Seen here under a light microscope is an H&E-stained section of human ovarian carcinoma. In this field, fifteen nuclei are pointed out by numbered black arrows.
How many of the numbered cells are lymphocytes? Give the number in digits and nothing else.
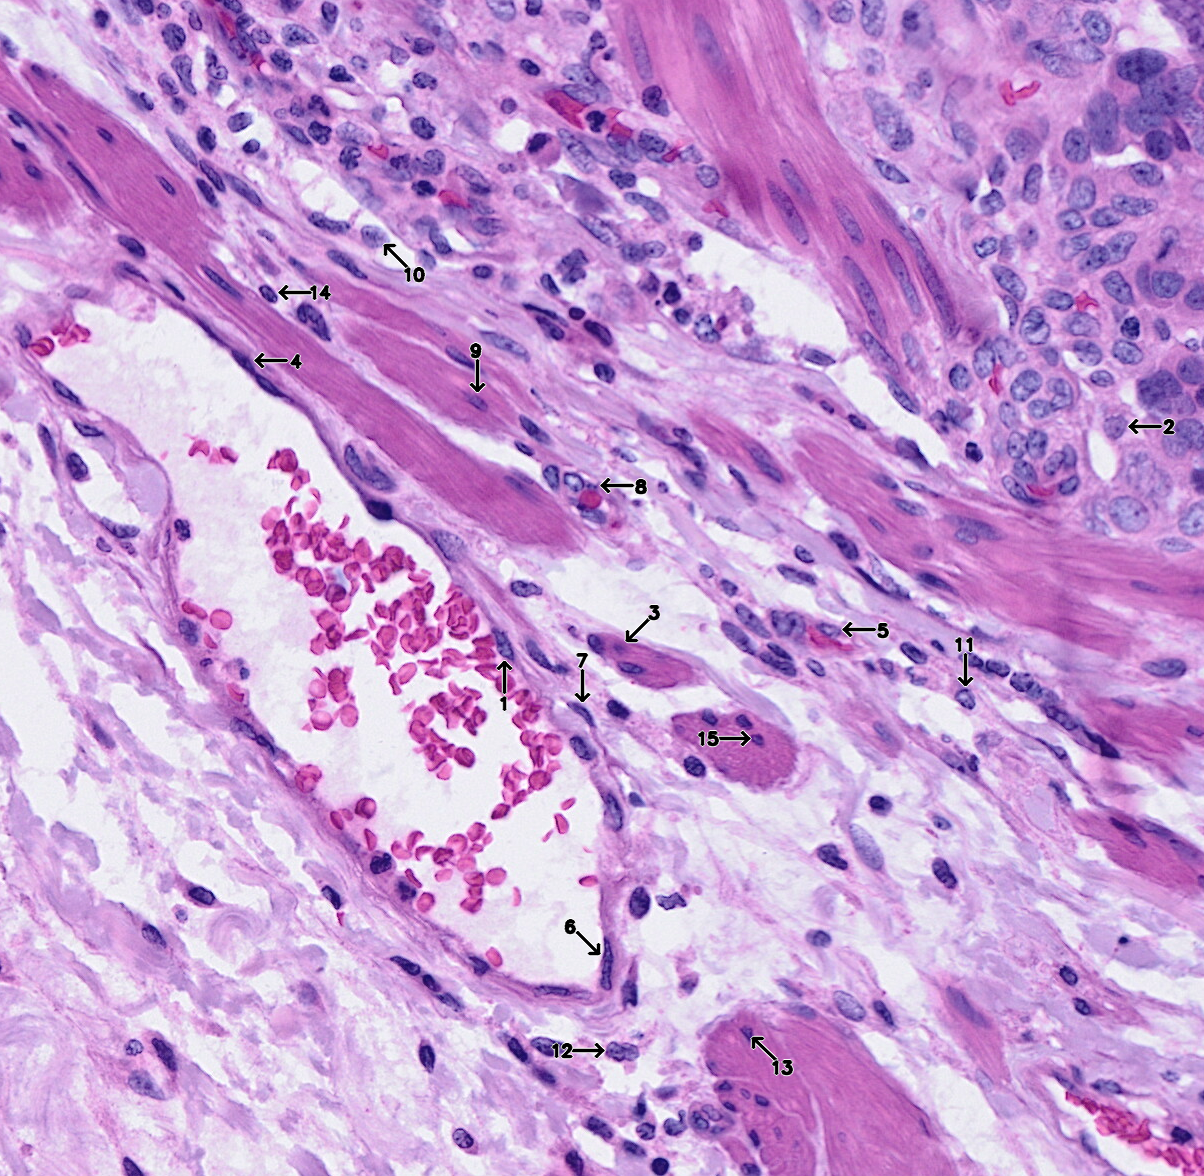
1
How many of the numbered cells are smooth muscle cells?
4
